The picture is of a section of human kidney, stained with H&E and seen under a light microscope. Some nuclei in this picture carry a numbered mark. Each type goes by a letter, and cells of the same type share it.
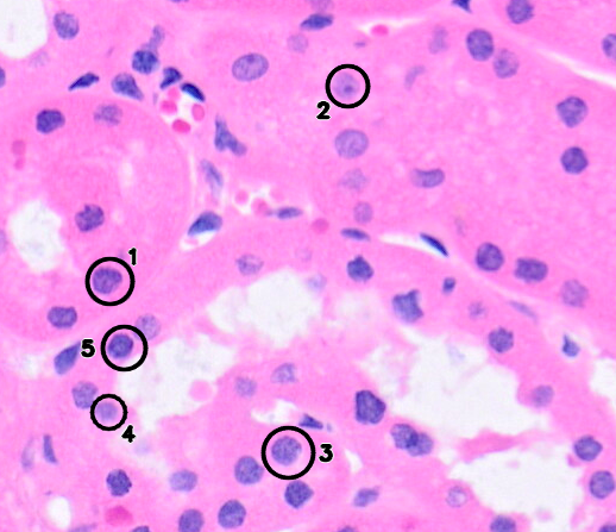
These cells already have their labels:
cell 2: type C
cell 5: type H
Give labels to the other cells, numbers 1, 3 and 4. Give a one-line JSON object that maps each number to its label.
{"1": "type C", "3": "type H", "4": "type H"}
